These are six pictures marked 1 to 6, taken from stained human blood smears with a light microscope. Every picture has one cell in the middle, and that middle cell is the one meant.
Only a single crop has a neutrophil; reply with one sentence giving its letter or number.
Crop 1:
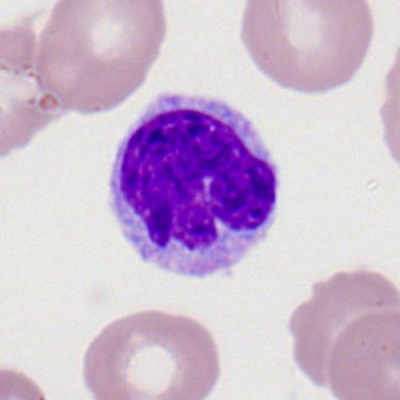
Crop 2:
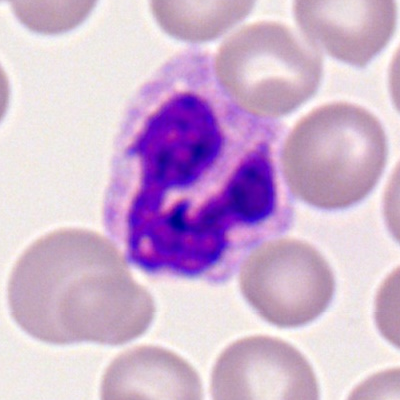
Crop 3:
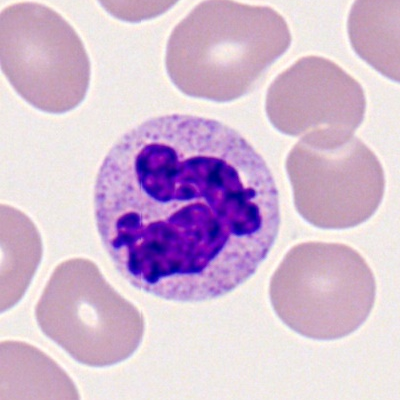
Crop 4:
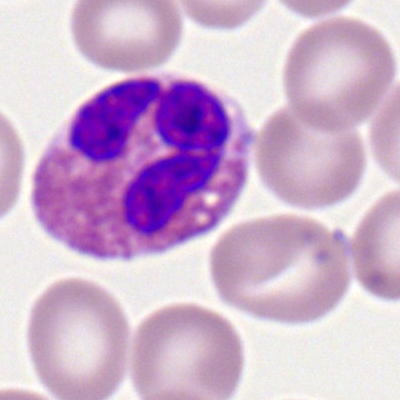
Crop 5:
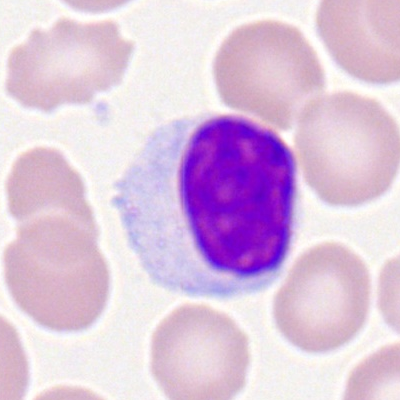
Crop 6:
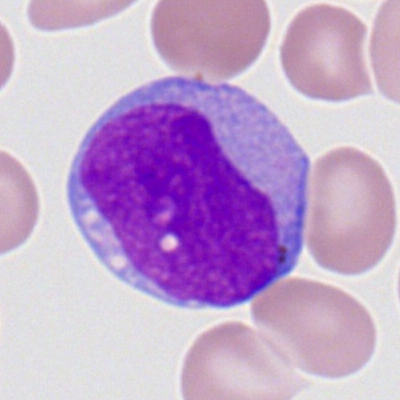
It is the cell in crop 3 that is a neutrophil.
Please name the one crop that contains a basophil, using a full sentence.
When the crops are compared, crop 2 is the one showing a basophil.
